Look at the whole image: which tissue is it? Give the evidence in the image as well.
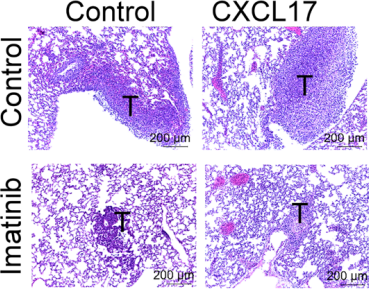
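Thin-walled alveolar spaces form a lace-like network around the dense areas. Pink-staining septa surround open air spaces.
Lung.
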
